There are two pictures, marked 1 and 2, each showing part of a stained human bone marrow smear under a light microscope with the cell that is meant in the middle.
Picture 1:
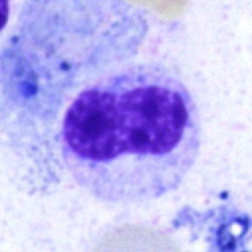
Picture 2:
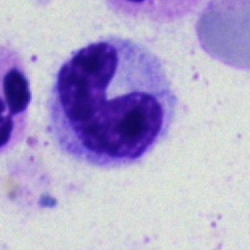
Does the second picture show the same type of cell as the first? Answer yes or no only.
yes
